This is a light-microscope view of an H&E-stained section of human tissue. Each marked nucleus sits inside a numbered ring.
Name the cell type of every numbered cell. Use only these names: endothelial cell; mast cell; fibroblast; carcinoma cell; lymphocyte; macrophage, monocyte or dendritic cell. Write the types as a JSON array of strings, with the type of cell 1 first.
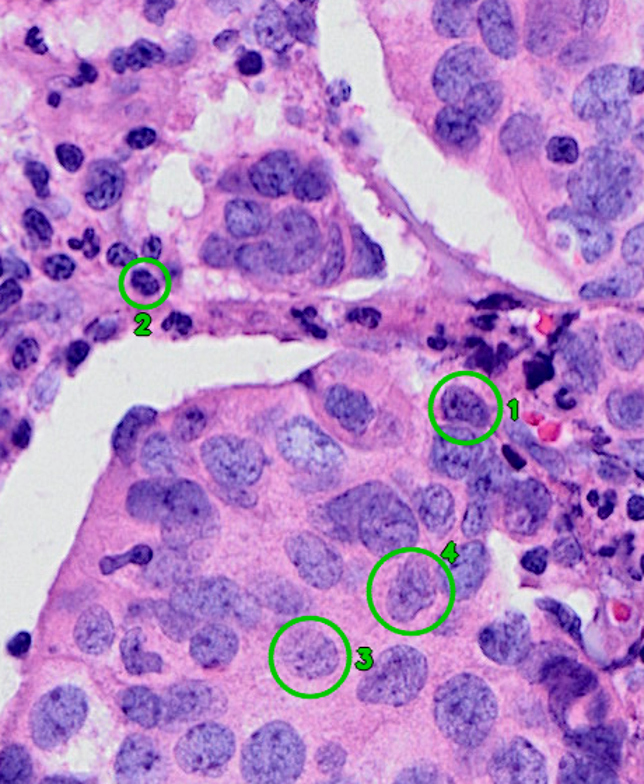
["carcinoma cell", "lymphocyte", "carcinoma cell", "carcinoma cell"]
